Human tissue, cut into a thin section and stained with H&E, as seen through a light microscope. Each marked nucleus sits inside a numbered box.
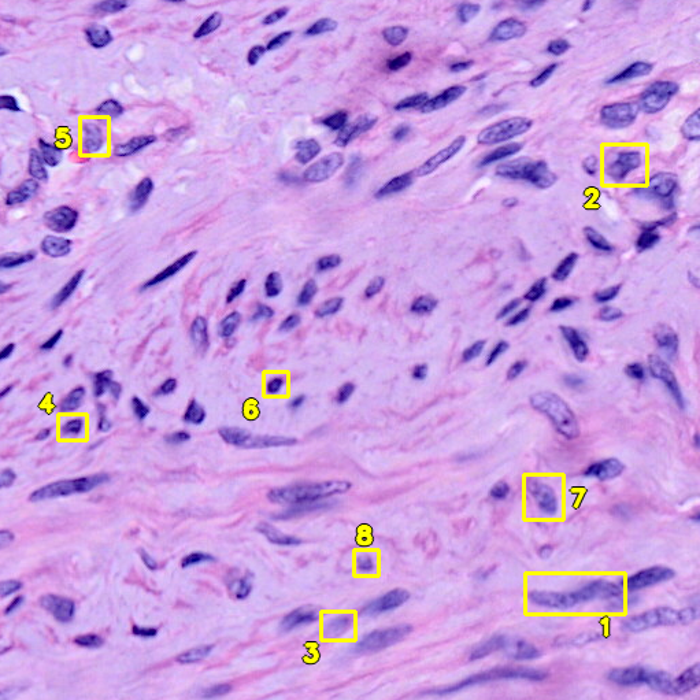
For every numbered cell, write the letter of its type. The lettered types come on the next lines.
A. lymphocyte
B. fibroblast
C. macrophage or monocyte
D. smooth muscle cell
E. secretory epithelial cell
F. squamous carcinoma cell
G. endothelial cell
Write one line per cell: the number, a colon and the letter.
1: B
2: G
3: D
4: D
5: G
6: D
7: D
8: D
